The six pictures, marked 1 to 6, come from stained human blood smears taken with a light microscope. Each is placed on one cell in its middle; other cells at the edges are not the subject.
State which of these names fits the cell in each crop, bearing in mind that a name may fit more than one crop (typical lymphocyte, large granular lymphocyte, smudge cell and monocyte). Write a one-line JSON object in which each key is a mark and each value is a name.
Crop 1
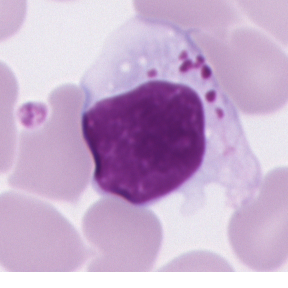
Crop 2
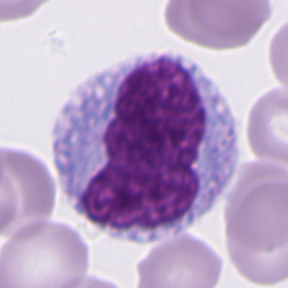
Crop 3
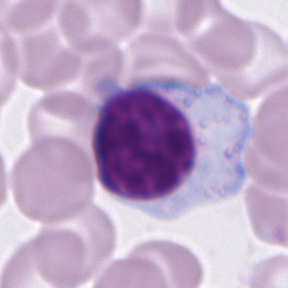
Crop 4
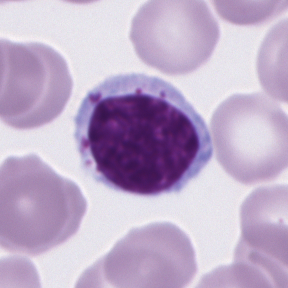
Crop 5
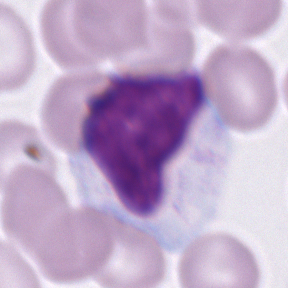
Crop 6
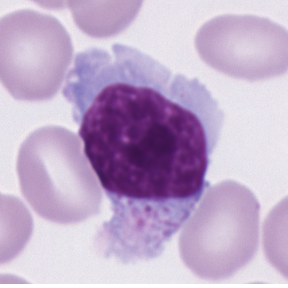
{"1": "large granular lymphocyte", "2": "monocyte", "3": "large granular lymphocyte", "4": "large granular lymphocyte", "5": "large granular lymphocyte", "6": "large granular lymphocyte"}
